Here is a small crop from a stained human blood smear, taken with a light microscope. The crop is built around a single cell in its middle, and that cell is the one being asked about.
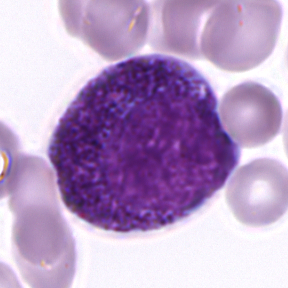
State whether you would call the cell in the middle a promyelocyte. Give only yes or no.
yes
